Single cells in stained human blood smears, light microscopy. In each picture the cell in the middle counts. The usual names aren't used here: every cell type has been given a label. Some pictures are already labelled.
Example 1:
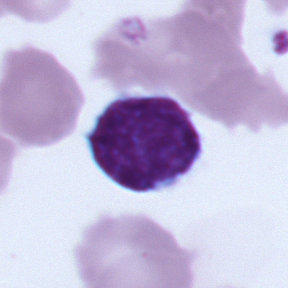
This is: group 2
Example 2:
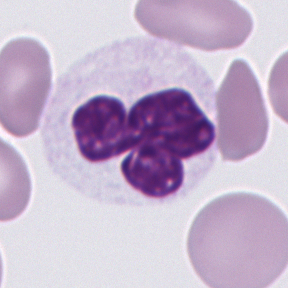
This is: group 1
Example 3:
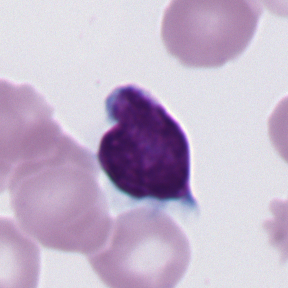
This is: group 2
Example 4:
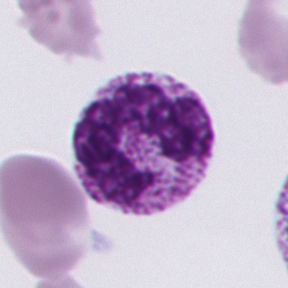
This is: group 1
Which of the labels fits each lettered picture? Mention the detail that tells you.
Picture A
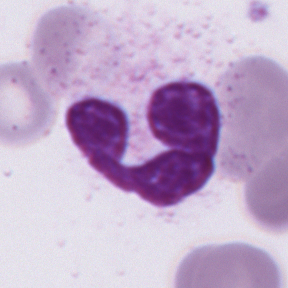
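Answer: group 1. The cytoplasm is very pale, nearly colourless.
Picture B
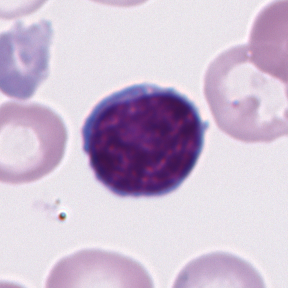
Answer: group 2. The cytoplasm forms only a thin rim around the nucleus.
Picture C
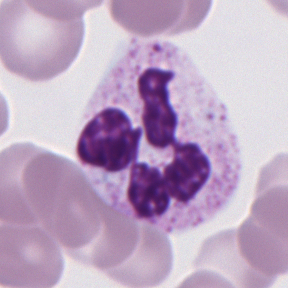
Answer: group 1. The nucleus is split into four separate lobes.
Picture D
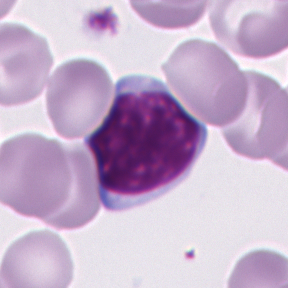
Answer: group 2. The cytoplasm forms a narrow rim that is widest at the top and bottom of the cell.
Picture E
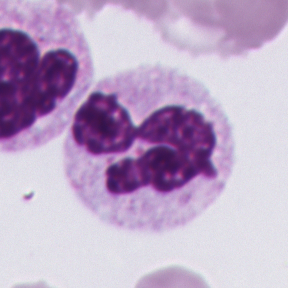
Answer: group 1. The cytoplasm is plentiful and pale pinkish-lilac.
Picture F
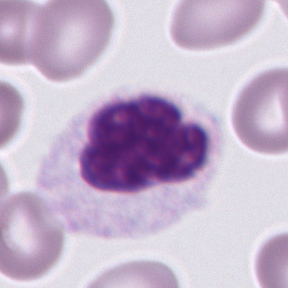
Answer: group 1. The cytoplasm is plentiful and very pale lilac.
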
